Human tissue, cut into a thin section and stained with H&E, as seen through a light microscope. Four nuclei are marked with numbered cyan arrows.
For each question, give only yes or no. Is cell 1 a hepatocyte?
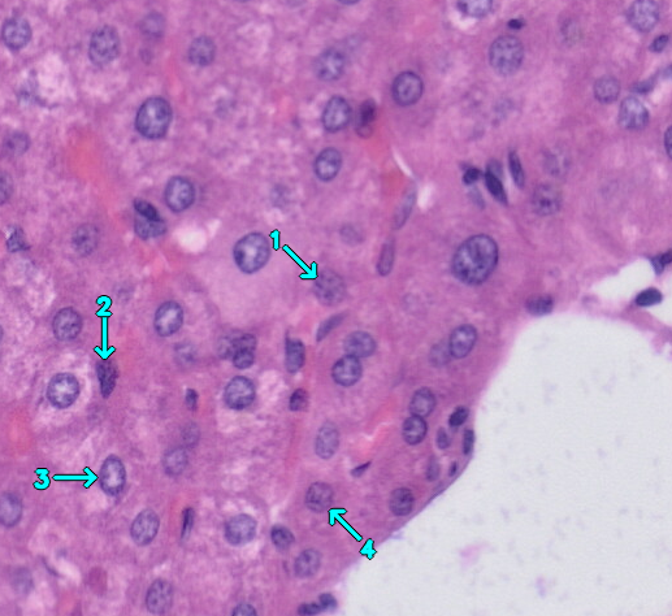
yes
